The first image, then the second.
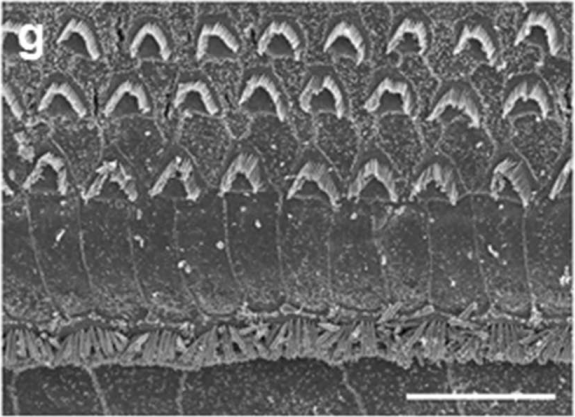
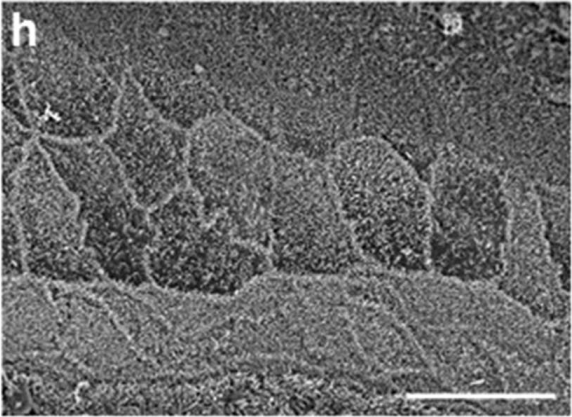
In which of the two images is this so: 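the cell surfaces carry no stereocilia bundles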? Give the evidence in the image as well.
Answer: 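Second image: flat polygonal cell surfaces without any bundles. First image: rows of cells bearing V-shaped stereocilia bundles.
Hence: the second image.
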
